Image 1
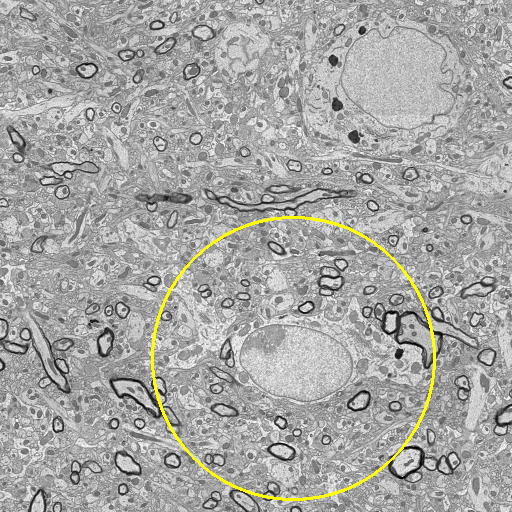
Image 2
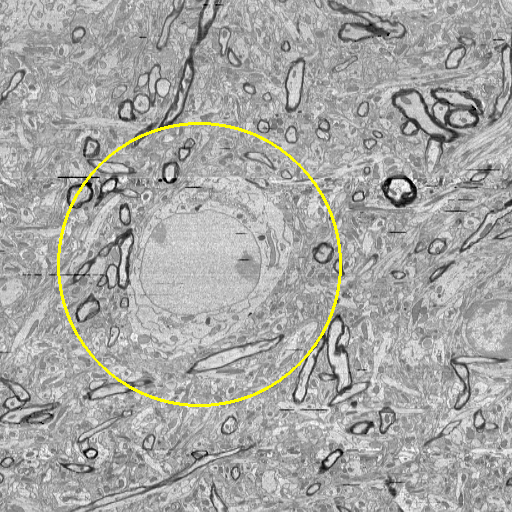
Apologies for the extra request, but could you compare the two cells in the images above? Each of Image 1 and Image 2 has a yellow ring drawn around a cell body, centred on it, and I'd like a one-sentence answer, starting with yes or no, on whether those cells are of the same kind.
No, the two cells are of two kinds.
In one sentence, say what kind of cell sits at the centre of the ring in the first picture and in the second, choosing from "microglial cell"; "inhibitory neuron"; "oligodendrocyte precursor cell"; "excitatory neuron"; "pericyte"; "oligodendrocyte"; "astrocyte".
The first picture's ringed cell is an astrocyte, while the second picture's is an excitatory neuron.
